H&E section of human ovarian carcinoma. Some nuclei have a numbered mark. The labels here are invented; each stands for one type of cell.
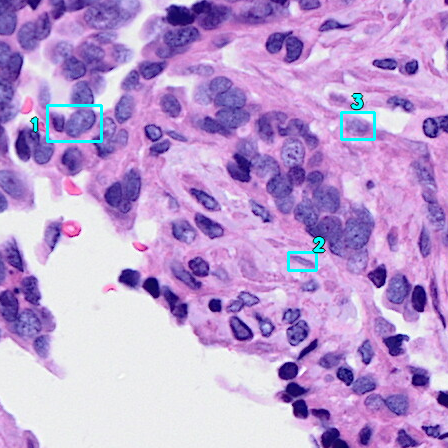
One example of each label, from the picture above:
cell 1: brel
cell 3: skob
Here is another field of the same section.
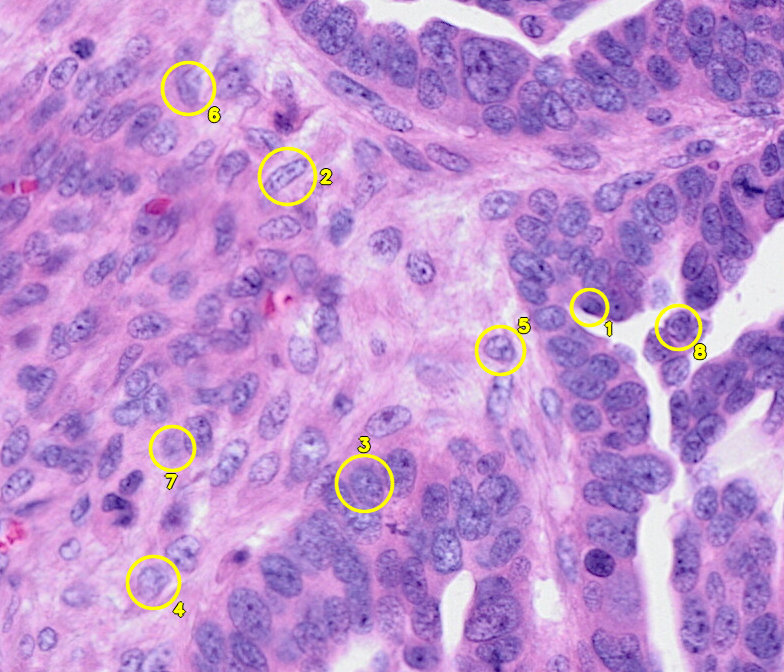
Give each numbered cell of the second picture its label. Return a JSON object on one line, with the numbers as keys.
{"1": "brel", "2": "skob", "3": "brel", "4": "skob", "5": "skob", "6": "skob", "7": "skob", "8": "brel"}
